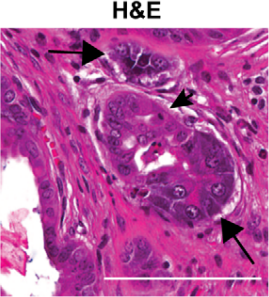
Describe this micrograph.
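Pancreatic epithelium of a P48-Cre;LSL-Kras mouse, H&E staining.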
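The duct has an irregular central lumen lined by cuboidal cells with round nuclei and paler cytoplasm. Around and beside it, cells with dense purple granular cytoplasm and round nuclei form rounded acinar groups. Elongated nuclei of stromal cells lie in the surrounding pink connective tissue.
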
